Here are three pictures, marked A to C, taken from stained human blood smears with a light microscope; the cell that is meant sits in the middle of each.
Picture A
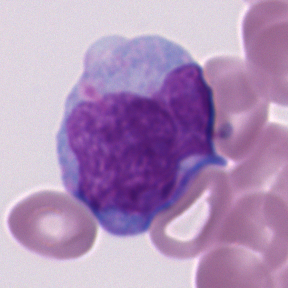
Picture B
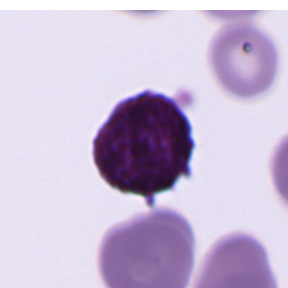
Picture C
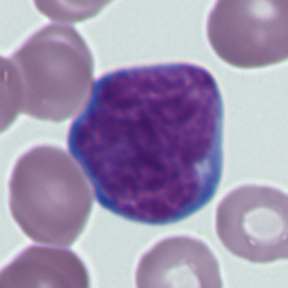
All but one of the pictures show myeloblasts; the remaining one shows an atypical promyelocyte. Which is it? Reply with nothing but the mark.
A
